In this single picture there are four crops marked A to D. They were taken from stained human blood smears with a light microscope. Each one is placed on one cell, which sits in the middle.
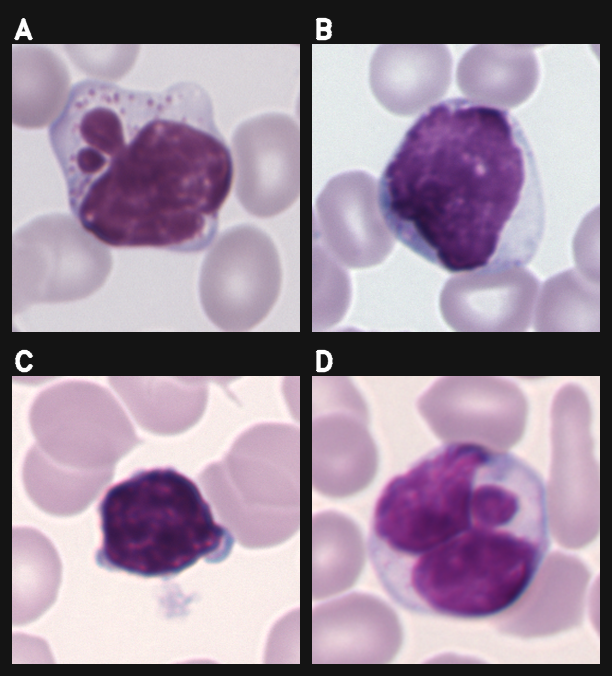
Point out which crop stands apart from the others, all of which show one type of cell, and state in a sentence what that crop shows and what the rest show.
Of the crops, all show large granular lymphocytes save crop C, which shows a typical lymphocyte.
